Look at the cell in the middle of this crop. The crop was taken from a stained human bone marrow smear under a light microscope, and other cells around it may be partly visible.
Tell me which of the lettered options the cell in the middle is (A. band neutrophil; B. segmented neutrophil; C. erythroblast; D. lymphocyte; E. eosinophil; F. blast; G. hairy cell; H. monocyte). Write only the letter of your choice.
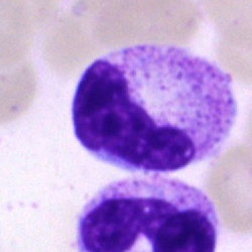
A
